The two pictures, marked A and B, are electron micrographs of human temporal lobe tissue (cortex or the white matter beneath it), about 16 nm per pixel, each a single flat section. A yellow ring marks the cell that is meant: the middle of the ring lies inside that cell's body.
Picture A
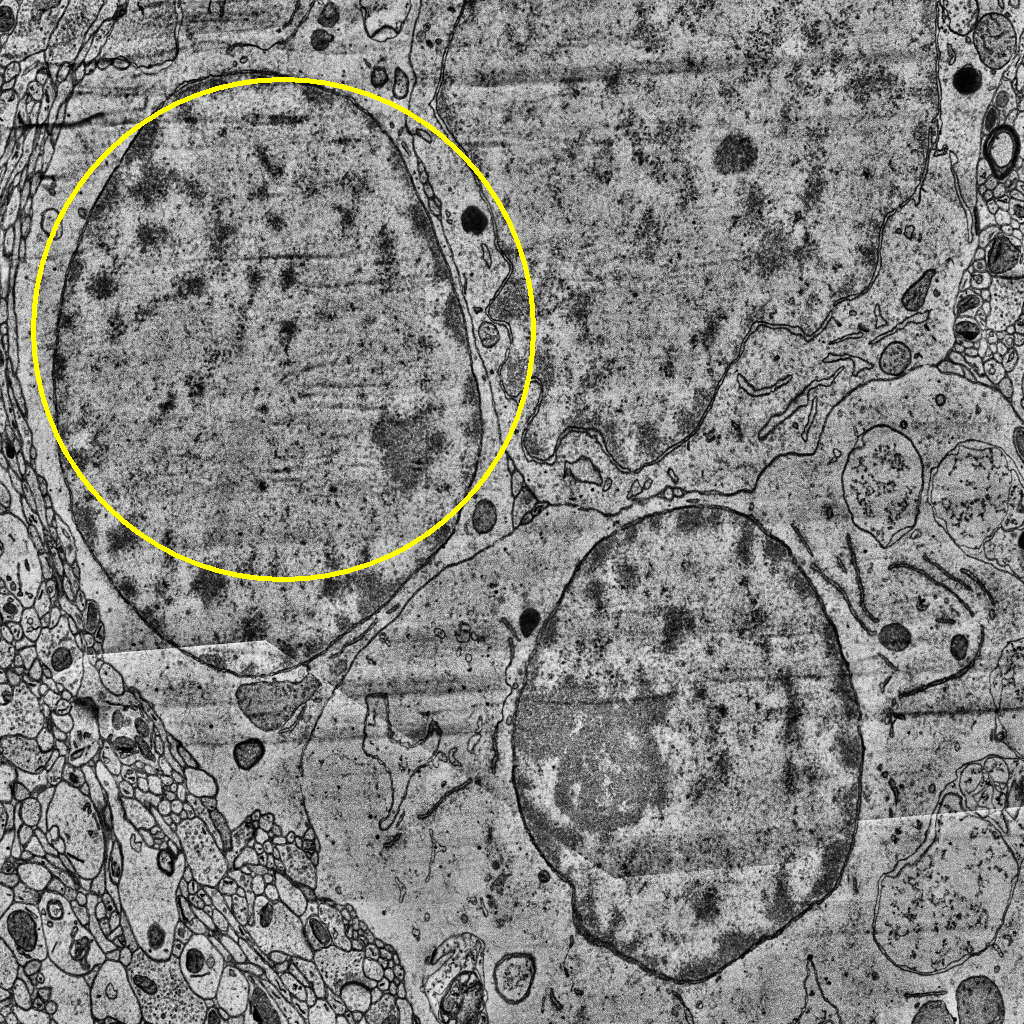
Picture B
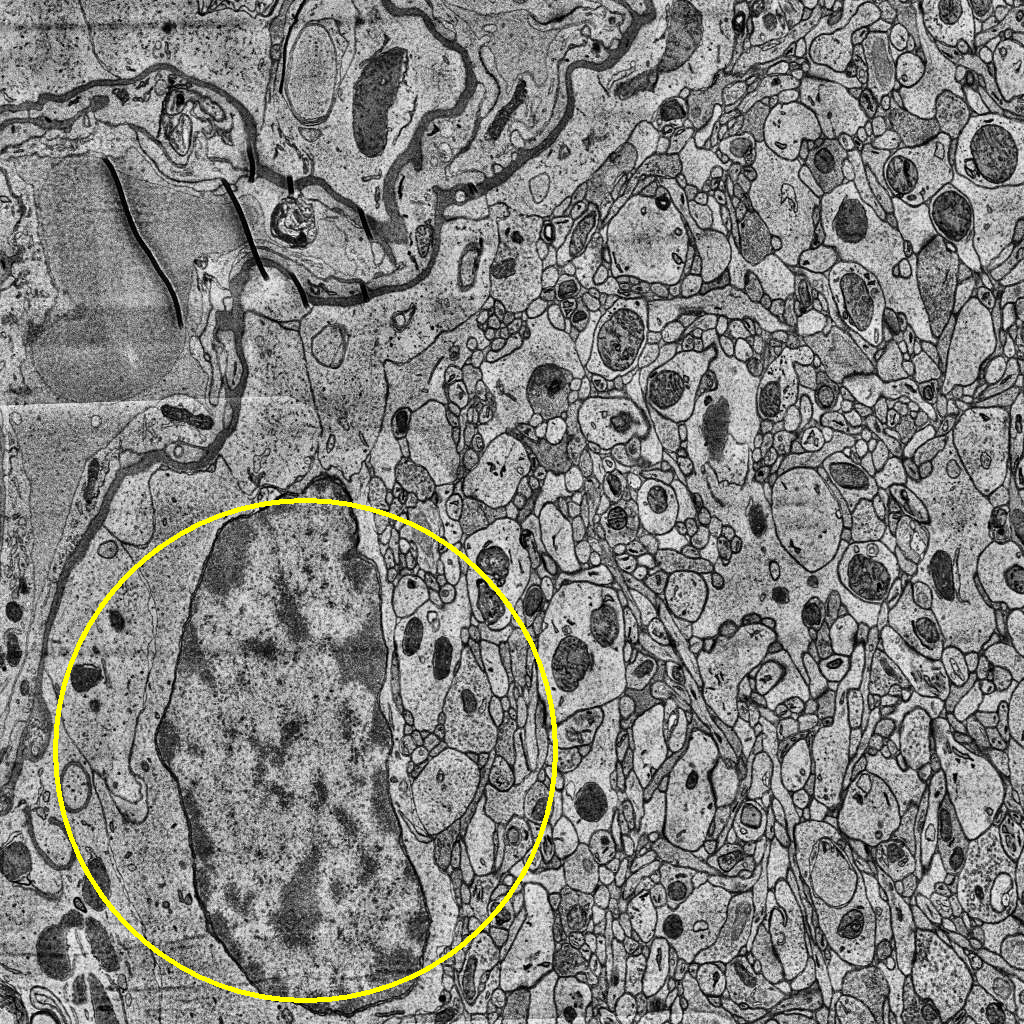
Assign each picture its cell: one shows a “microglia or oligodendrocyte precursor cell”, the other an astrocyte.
It is picture A that shows an astrocyte, and picture B that shows a “microglia or oligodendrocyte precursor cell”.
